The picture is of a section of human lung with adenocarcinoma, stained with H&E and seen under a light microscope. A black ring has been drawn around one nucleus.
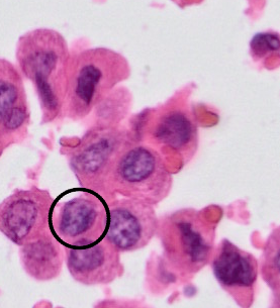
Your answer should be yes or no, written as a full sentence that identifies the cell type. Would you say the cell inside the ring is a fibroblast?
No, the cell inside the ring is not a fibroblast, but is instead a carcinoma cell.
